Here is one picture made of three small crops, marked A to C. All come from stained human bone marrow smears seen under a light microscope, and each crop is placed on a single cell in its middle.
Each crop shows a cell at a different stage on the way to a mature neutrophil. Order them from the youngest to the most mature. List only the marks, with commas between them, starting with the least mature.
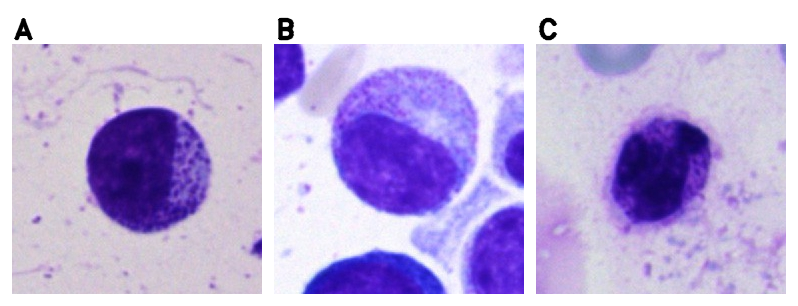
B, A, C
